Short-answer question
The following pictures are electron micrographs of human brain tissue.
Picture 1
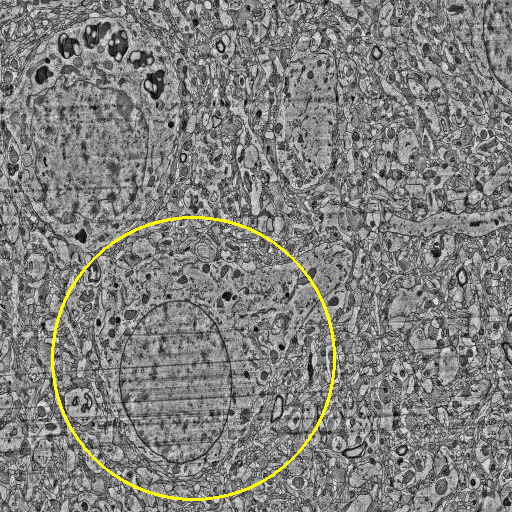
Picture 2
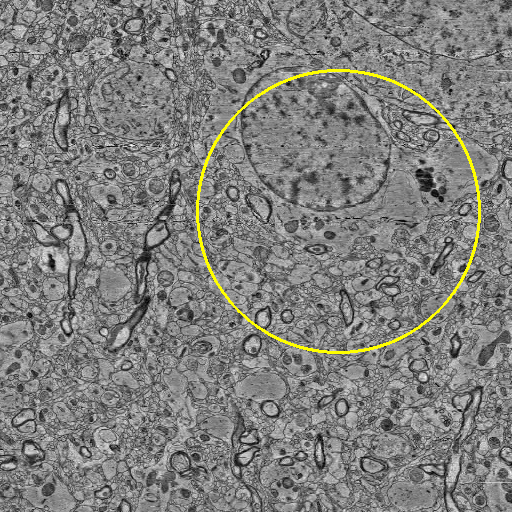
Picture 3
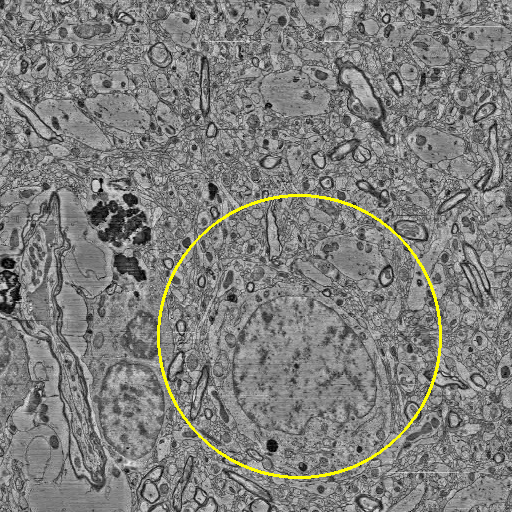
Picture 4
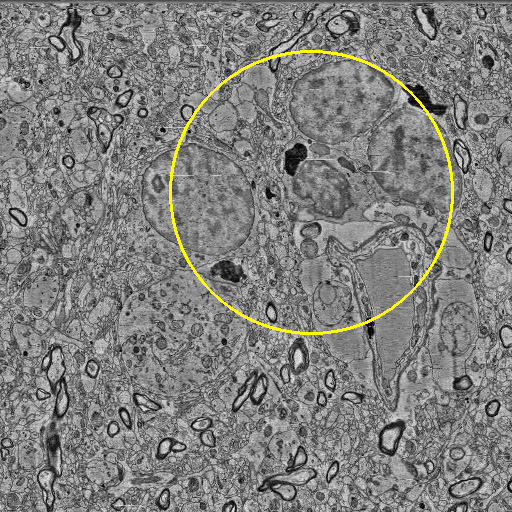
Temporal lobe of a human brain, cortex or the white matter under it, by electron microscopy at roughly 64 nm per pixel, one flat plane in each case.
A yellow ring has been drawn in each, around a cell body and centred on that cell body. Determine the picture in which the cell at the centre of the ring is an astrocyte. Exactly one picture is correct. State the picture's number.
2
